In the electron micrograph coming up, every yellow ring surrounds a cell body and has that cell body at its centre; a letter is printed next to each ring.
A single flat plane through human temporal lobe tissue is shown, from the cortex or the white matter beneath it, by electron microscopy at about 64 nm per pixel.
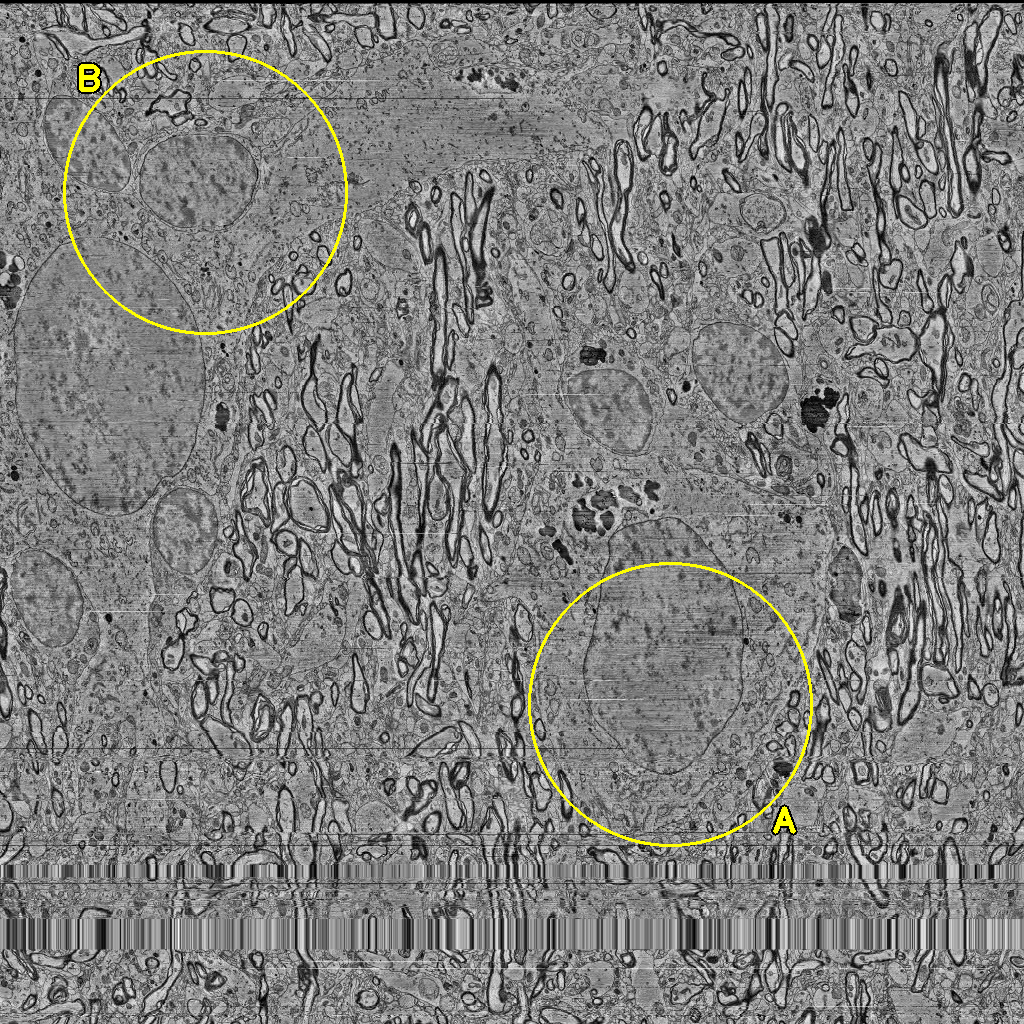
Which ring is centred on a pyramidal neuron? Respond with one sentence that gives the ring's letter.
Ring A is the one whose centre sits on the cell asked for in the picture.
